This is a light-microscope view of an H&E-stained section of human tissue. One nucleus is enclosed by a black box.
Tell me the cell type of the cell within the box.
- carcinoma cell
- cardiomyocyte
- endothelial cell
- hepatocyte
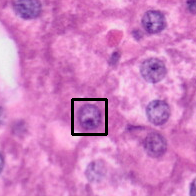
hepatocyte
